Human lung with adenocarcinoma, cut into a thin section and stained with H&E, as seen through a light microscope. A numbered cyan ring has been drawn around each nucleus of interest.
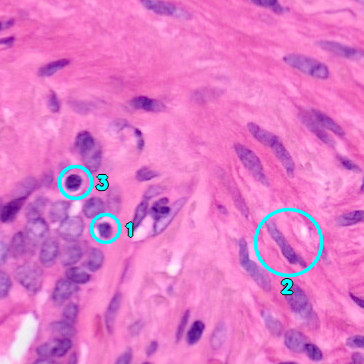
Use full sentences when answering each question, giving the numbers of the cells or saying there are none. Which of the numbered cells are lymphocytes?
Identified as lymphocytes are the cells numbered 1 and 3.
